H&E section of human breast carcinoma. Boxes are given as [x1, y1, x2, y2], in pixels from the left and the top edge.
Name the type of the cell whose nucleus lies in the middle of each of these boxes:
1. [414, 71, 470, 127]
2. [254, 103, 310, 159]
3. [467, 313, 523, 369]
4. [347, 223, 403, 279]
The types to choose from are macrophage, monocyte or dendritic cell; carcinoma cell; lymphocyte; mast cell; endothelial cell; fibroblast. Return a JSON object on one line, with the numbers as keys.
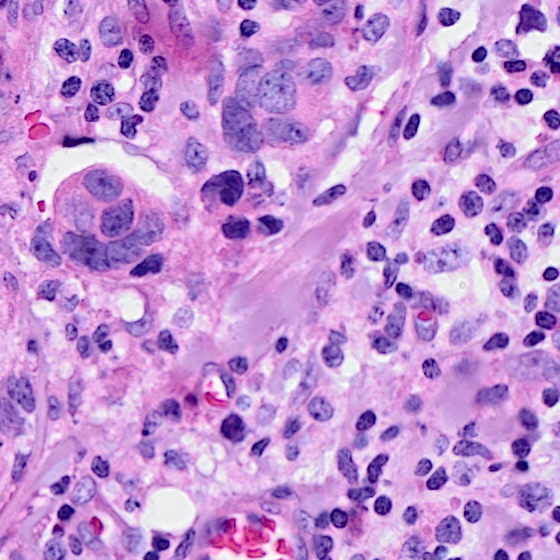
{"1": "lymphocyte", "2": "carcinoma cell", "3": "lymphocyte", "4": "lymphocyte"}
